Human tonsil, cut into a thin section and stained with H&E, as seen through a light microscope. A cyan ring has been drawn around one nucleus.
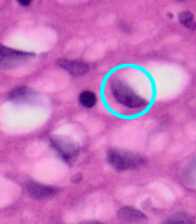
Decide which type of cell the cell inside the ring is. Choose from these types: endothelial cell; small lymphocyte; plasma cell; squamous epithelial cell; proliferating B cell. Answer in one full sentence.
For cell typing purposes, the cell inside the ring is a squamous epithelial cell.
